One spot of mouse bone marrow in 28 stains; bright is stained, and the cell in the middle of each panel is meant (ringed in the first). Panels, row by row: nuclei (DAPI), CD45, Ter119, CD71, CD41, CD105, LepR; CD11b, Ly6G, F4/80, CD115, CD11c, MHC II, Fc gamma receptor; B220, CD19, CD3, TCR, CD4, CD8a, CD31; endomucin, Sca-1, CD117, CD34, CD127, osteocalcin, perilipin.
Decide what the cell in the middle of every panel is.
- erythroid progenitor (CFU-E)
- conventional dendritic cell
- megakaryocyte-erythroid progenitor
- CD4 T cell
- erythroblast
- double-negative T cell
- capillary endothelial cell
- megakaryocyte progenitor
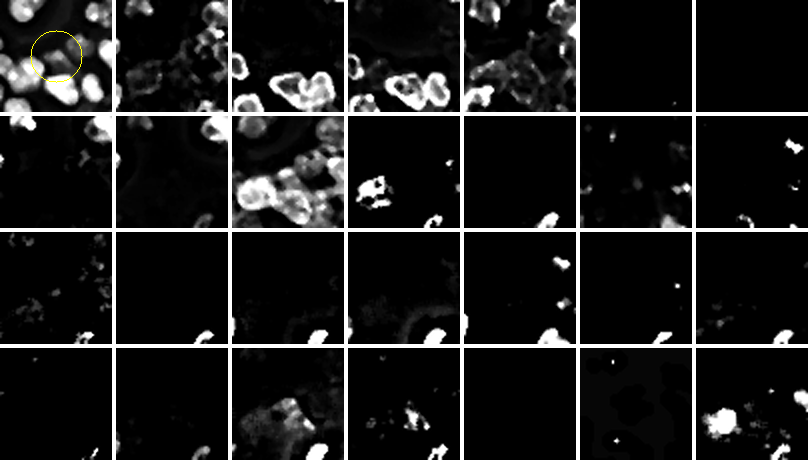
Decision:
megakaryocyte-erythroid progenitor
